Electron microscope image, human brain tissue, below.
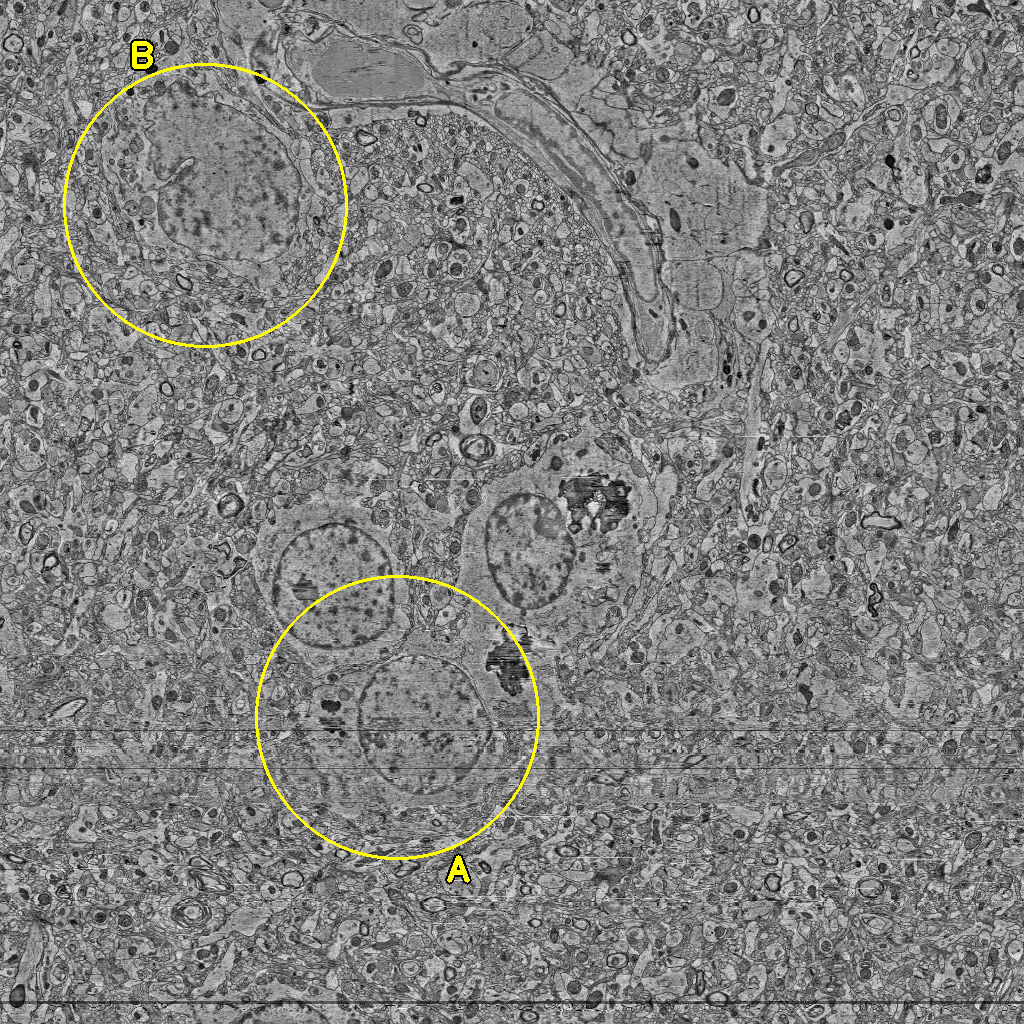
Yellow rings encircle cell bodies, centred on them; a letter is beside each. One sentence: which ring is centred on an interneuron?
It is ring B.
